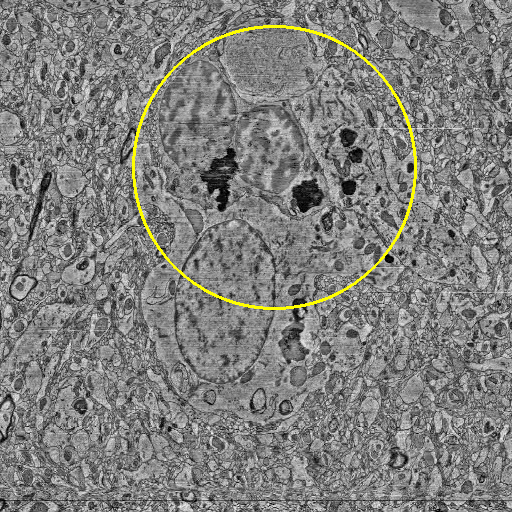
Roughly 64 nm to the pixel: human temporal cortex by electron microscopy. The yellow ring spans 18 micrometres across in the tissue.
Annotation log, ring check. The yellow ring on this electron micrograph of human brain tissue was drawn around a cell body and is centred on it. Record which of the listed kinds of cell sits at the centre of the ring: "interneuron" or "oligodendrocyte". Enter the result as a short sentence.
The cell at the centre of the ring is an oligodendrocyte.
